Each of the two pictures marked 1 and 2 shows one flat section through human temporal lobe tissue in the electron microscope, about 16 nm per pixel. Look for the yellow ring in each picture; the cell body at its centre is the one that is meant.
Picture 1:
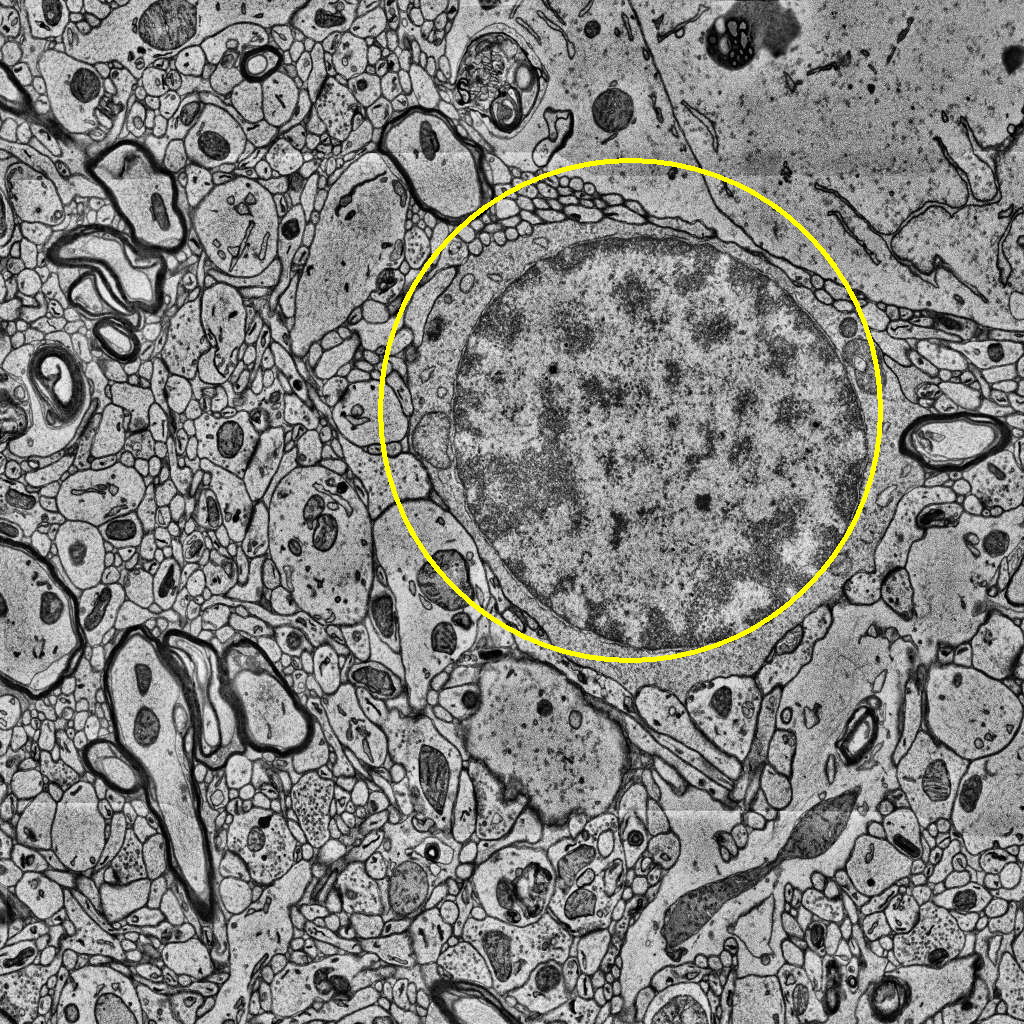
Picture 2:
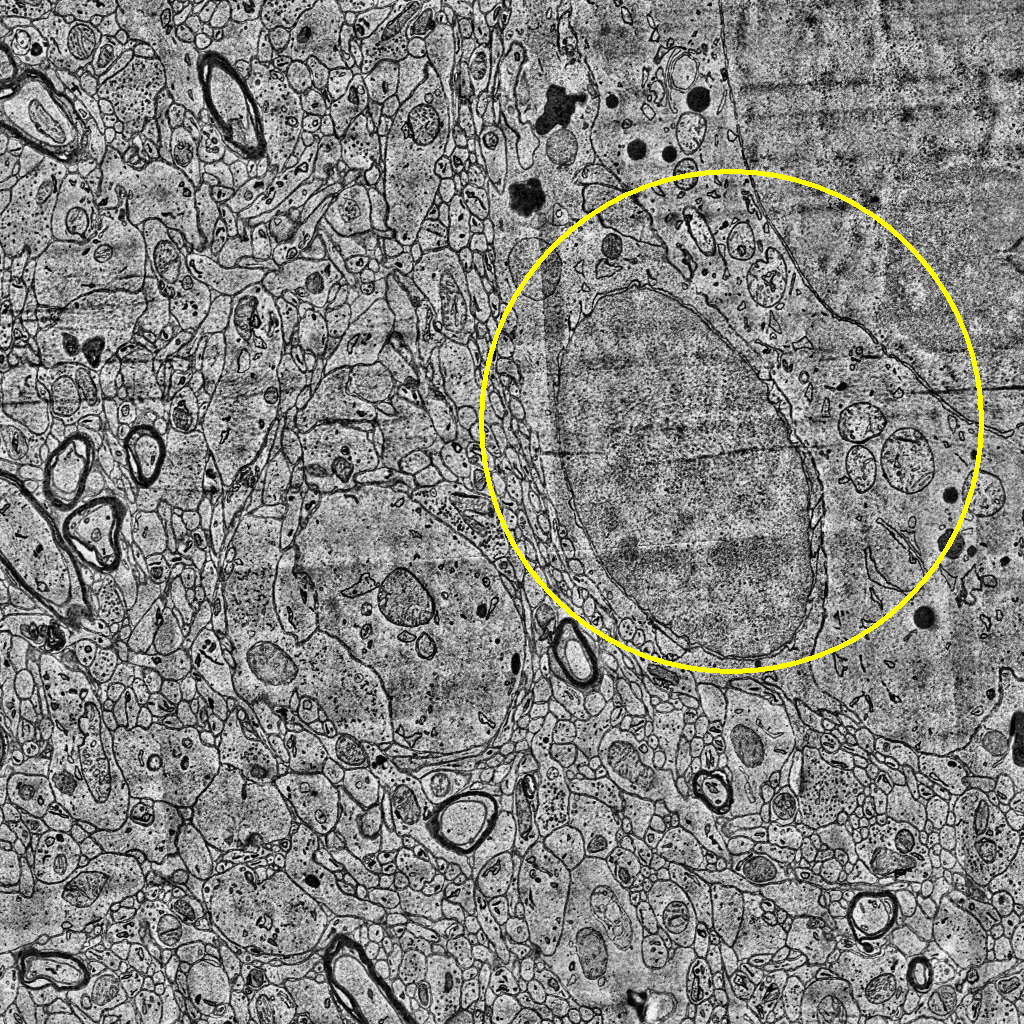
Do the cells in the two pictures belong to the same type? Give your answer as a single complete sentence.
Yes, the two pictures both show oligodendrocytes.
